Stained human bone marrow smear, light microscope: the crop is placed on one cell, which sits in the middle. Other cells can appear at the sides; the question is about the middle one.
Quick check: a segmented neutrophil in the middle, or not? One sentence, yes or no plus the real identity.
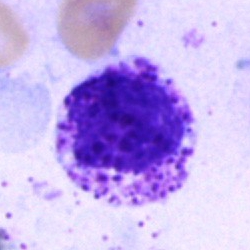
No, it is not a segmented neutrophil that lies in the middle but a basophil.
